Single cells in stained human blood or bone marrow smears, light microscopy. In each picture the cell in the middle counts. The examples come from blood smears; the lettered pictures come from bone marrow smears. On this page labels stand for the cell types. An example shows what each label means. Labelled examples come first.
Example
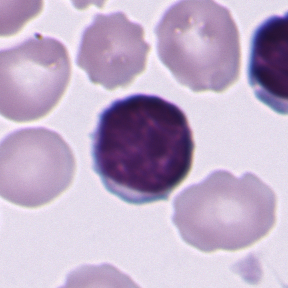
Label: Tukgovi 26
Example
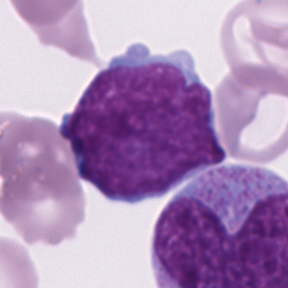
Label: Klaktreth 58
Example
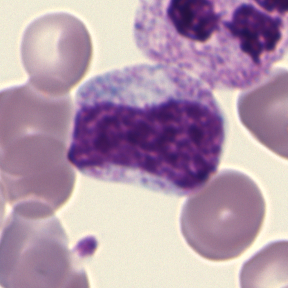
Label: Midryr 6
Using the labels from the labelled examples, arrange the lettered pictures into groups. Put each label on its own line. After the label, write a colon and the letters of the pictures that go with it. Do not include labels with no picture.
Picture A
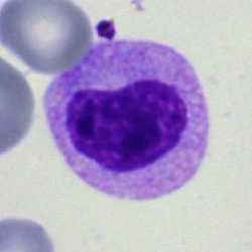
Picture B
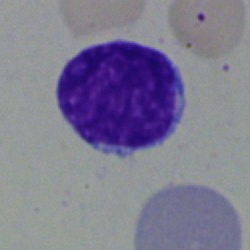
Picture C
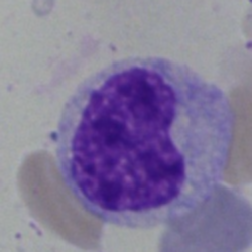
Tukgovi 26: B
Midryr 6: A, C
